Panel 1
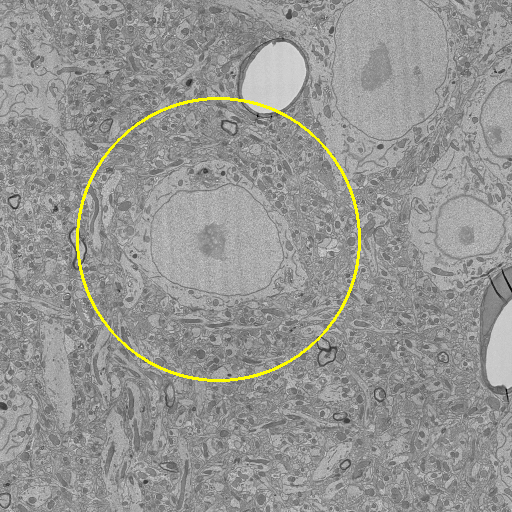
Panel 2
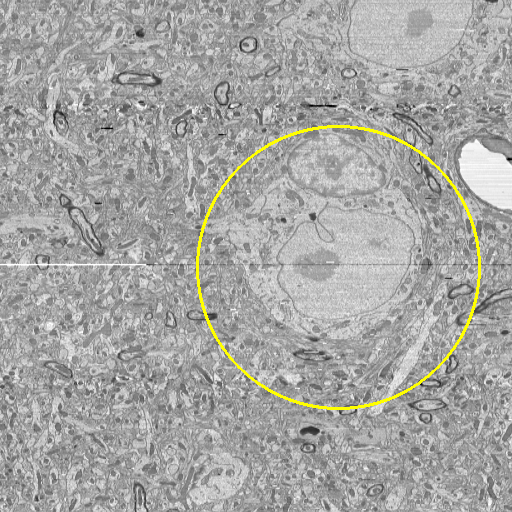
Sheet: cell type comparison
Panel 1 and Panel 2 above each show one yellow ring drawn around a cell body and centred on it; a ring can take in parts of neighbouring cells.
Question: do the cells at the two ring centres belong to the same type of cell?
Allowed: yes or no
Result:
yes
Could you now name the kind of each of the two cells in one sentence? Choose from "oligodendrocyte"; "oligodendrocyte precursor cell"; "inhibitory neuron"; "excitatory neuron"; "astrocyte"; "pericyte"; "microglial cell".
The first and the second cell are each an excitatory neuron.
